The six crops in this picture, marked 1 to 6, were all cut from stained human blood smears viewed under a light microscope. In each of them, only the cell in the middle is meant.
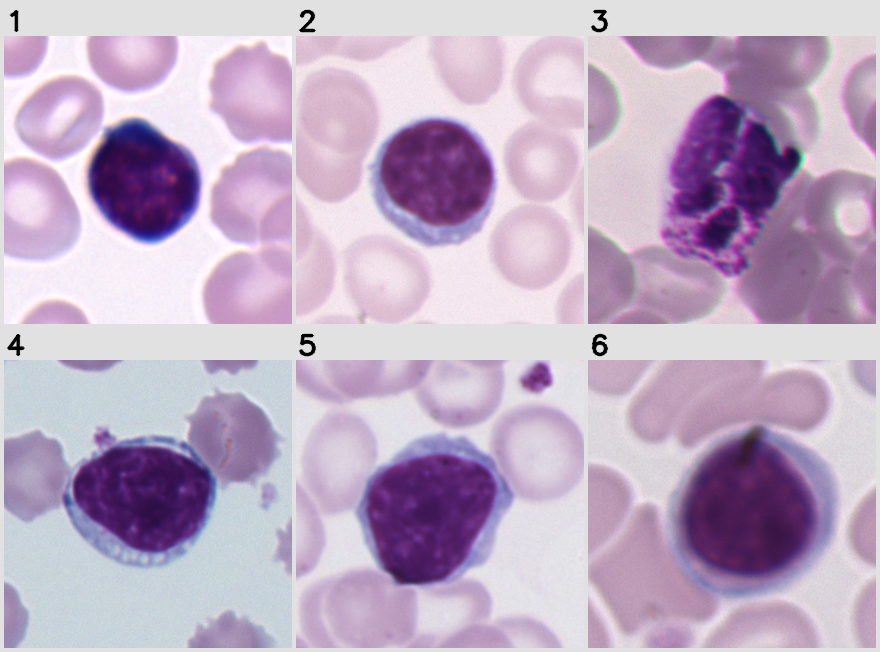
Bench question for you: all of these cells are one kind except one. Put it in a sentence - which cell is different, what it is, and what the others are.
Crop 3 is the one to flag: it is a basophil, and the rest show typical lymphocytes.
